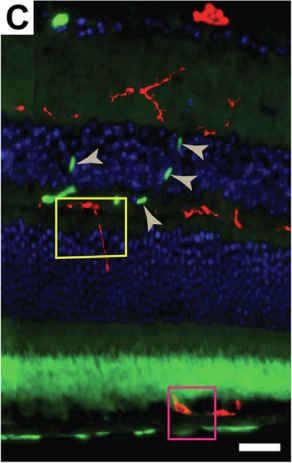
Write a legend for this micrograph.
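This is a cross-section of retina with its layers stacked from top to bottom: a sparse row of blue nuclei at the top, a thick green-tinged fiber layer, a band of blue nuclei, a thin fiber layer, a thick densely packed band of small blue nuclei, and below it a bright green striated band. Scattered red cells with small bodies and thin, branching processes sit in the fiber layers between the nuclear bands, and a few red profiles lie at the very bottom near the pigmented epithelium. Small elongated bright green profiles, marked by pale arrowheads, lie within and just below the inner nuclear band and are best read as cross-cut small vessels. The branched red cells in the plexiform layers fit resident microglia, with macrophage-like cells at the outer edge of the retina. The bright green band corresponds to the photoreceptor segments.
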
